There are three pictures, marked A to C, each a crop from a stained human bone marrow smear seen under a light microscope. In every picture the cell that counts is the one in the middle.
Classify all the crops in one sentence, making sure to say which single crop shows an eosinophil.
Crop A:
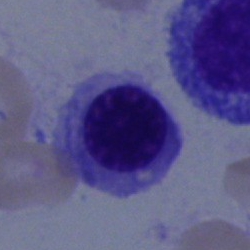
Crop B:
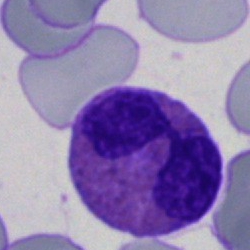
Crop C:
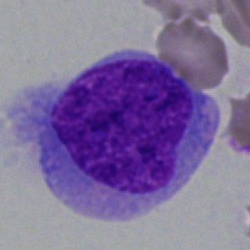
Seen in crop B is an eosinophil, while crop A is a normoblast and crop C is a blast.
